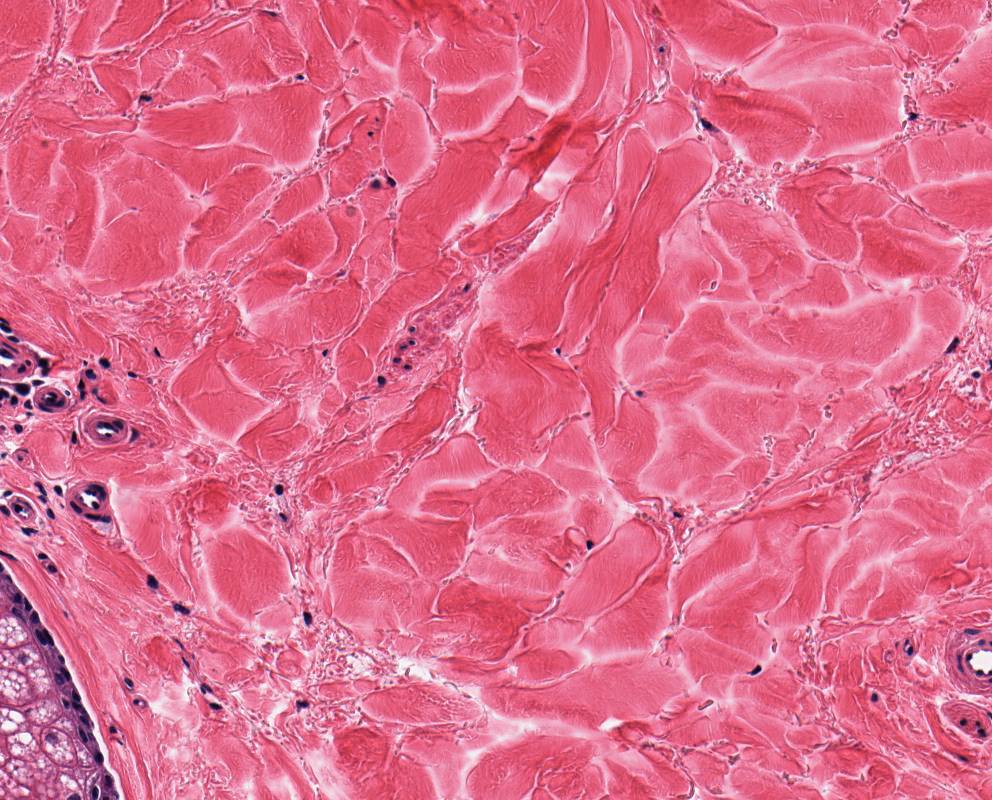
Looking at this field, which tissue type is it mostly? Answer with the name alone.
dermis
